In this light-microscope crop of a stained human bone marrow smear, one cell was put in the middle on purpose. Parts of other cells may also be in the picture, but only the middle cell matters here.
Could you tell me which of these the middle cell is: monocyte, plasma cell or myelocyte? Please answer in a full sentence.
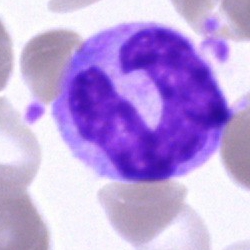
In this smear crop, the middle cell is a monocyte.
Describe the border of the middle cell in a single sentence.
Thanks for asking; the cell edge is smooth and has no projections.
